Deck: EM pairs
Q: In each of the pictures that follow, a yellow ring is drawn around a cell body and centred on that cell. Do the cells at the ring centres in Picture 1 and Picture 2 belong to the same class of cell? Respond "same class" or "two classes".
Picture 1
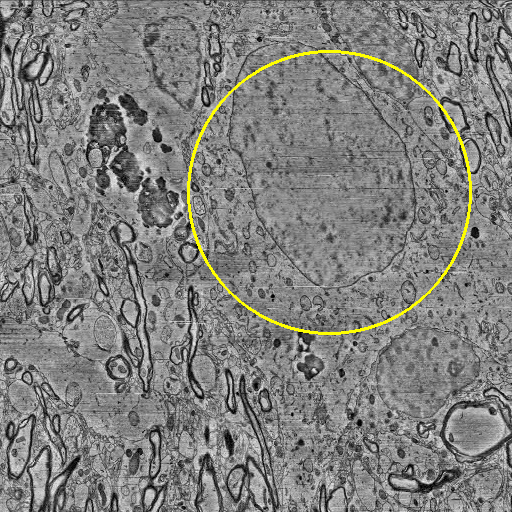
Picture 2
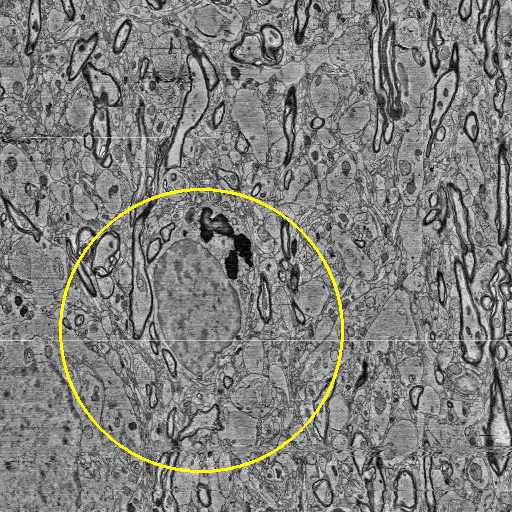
two classes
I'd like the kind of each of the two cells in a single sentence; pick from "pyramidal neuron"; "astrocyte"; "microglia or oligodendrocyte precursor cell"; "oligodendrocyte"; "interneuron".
The first ring marks a pyramidal neuron, and the second ring marks an oligodendrocyte.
